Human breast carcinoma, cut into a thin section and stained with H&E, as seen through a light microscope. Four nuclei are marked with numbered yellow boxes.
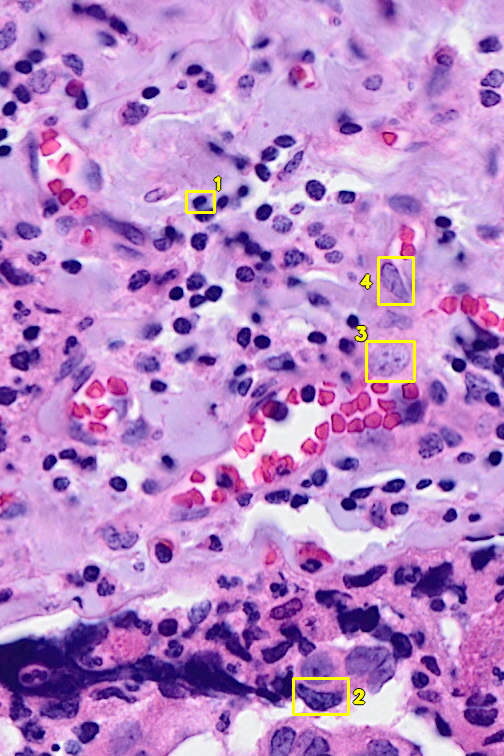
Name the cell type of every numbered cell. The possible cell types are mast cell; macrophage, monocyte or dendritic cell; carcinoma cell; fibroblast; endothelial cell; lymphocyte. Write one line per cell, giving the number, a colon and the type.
1: lymphocyte
2: carcinoma cell
3: endothelial cell
4: endothelial cell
